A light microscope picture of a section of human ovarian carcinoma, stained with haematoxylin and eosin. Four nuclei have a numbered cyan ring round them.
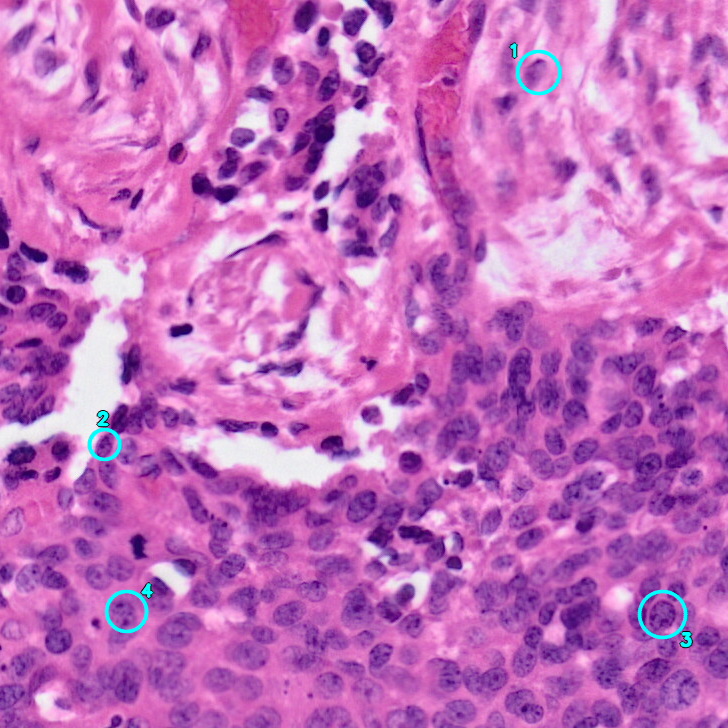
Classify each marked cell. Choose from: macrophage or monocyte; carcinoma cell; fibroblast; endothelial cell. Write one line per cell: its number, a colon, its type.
1: fibroblast
2: carcinoma cell
3: carcinoma cell
4: carcinoma cell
